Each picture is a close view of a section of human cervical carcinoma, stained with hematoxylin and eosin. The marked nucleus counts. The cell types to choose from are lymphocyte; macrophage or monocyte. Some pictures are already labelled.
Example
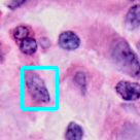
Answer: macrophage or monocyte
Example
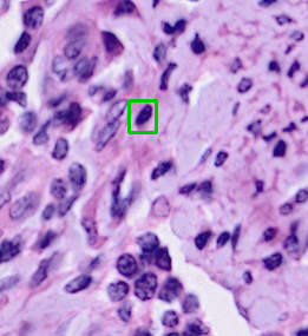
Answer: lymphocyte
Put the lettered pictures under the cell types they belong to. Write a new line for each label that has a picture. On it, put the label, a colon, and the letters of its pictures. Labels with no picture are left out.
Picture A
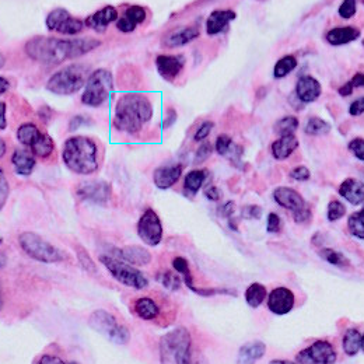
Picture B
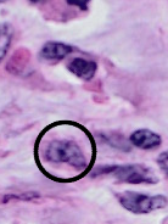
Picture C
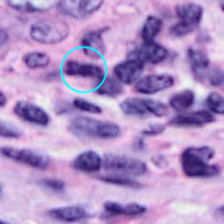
lymphocyte: C
macrophage or monocyte: A, B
